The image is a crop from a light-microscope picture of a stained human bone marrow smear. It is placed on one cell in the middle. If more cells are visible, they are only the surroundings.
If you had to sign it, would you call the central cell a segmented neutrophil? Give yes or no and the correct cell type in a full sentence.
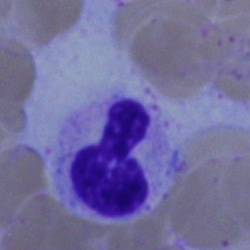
Yes, the cell in the middle has the identity of a segmented neutrophil.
